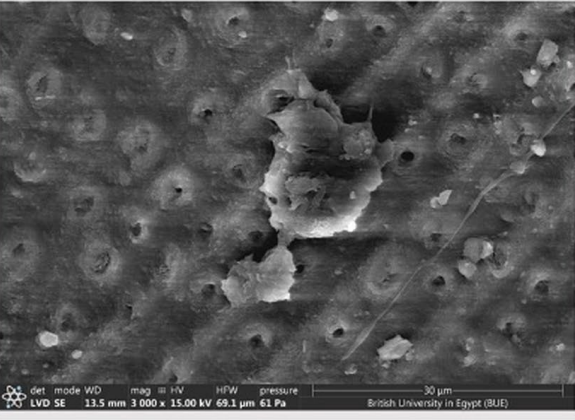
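This scanning electron micrograph shows a cluster of cells lying on a dentin surface. The cluster forms an irregular raised mass in the middle of the field with a smaller piece below it. Around it the surface is smooth, with dentinal tubules seen only as small pits surrounded by faint rings. Small scattered particles lie on the surface.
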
